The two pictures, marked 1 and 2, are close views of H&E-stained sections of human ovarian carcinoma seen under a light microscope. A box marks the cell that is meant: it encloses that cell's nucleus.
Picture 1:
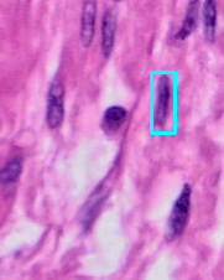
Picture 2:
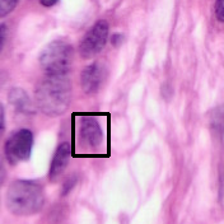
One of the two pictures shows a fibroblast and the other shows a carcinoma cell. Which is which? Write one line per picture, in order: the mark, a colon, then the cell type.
1: fibroblast
2: carcinoma cell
